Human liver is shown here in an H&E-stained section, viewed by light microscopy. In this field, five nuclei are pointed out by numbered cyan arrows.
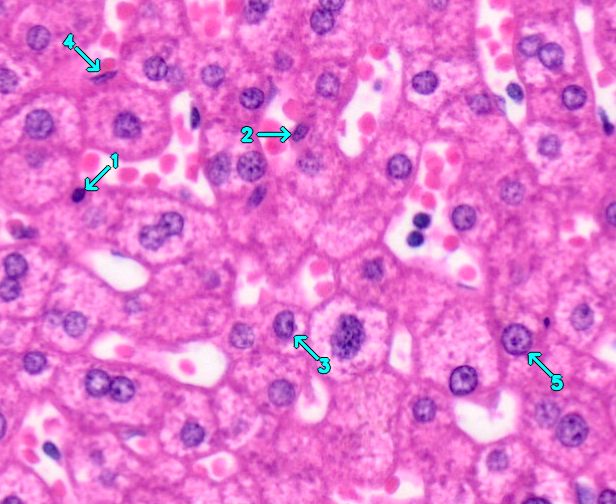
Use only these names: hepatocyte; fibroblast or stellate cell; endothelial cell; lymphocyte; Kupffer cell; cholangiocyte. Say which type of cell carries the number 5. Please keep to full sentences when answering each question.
As for number 5, that cell is a hepatocyte.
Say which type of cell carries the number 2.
Cell number 2 in this section is a Kupffer cell.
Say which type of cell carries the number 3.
Number 3 among the marked cells is a hepatocyte.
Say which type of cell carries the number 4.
The cell identified by number 4 is an endothelial cell.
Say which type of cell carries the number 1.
The marked cell with the number 1 is recognised as a fibroblast or stellate cell.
